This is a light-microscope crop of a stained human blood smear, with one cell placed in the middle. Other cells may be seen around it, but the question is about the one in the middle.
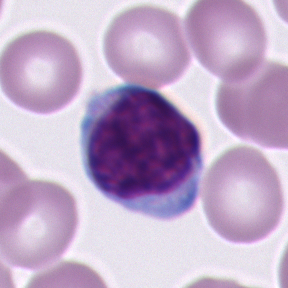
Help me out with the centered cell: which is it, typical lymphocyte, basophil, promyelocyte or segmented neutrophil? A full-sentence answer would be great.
The center cell of this crop is a typical lymphocyte.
